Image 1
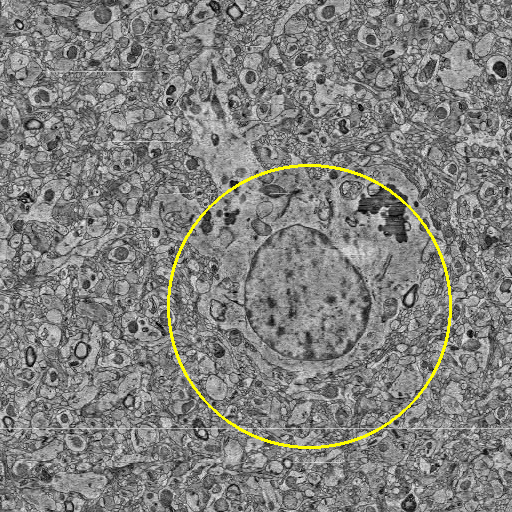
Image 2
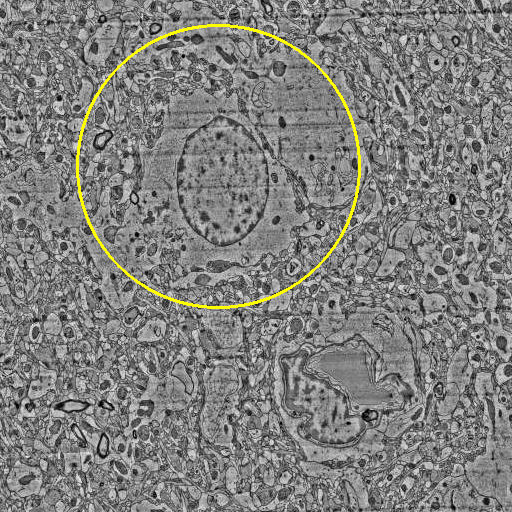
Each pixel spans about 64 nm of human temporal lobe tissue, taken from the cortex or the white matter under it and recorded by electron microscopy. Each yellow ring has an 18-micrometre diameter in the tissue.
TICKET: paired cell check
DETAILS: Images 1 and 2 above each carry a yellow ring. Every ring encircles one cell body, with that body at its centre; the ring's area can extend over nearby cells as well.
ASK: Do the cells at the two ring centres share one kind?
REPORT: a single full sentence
Yes, the ring-centre cells of Images 1 and 2 belong to a single kind.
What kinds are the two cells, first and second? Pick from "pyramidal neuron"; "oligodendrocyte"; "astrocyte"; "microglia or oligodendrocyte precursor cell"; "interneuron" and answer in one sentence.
The cell in the first picture is an astrocyte, and so is the one in the second.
